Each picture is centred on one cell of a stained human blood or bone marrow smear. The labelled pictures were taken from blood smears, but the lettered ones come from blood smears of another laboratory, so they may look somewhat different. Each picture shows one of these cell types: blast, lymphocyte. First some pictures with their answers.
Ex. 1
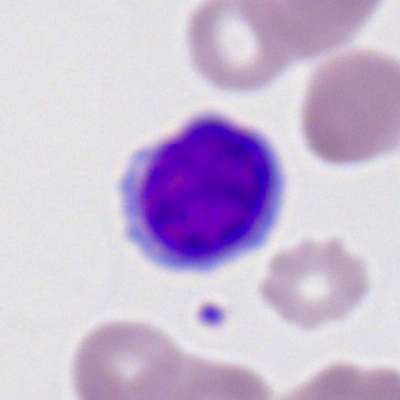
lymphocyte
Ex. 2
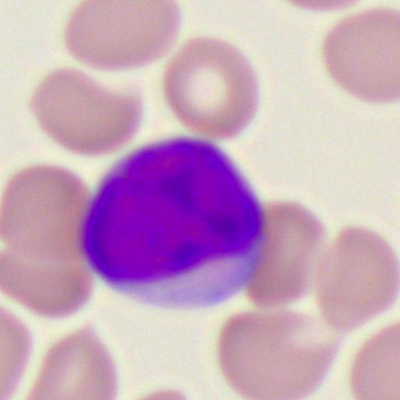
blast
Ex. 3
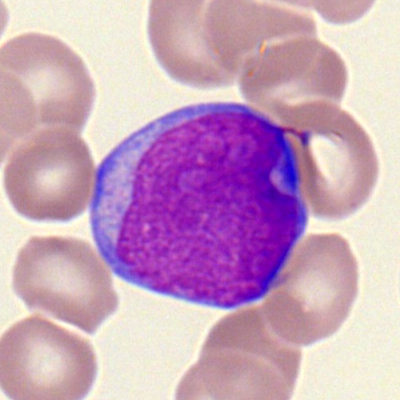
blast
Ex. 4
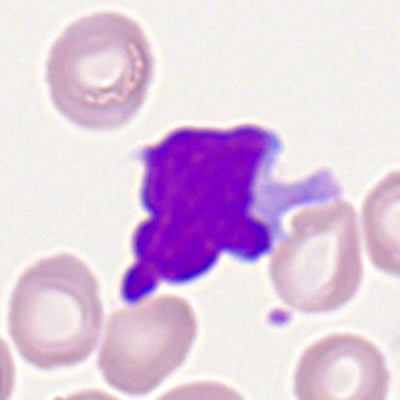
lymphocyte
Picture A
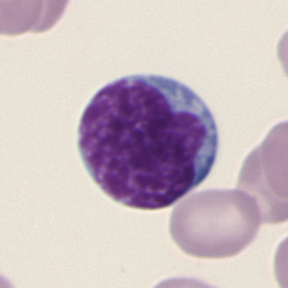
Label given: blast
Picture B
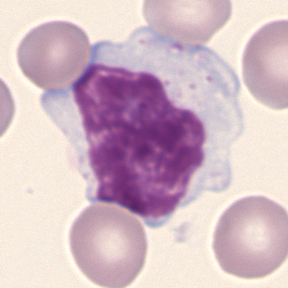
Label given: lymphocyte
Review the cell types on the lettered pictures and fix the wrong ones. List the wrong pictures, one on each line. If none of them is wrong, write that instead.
A: change blast to lymphocyte
B: change lymphocyte to blast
